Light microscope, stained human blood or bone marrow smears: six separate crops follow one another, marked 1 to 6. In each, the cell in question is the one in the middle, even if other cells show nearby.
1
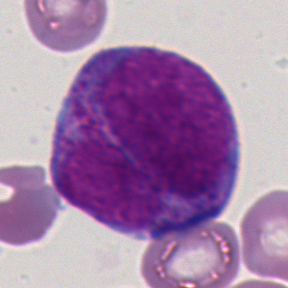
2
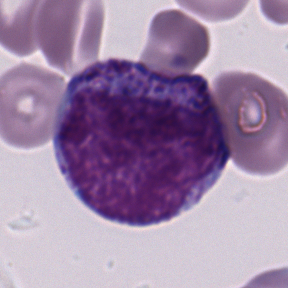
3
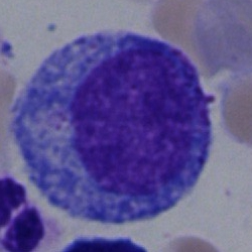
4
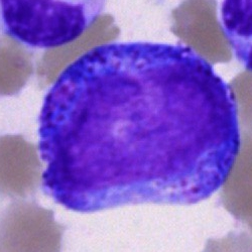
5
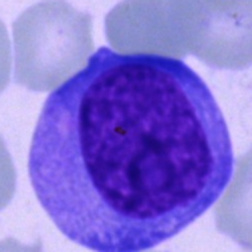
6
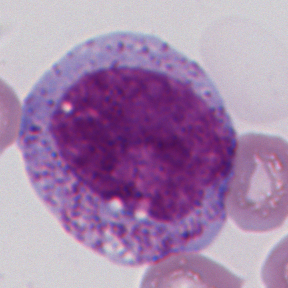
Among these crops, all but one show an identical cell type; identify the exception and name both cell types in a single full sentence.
The different crop is 5; it is a blast, and the others all show promyelocytes.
